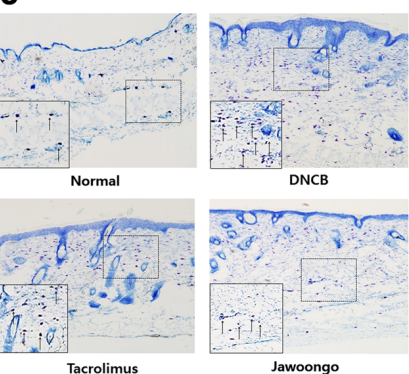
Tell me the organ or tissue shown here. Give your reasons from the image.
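Skin. A blue-stained surface epithelium runs along the top. Hair follicles lie in the pale connective tissue beneath.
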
